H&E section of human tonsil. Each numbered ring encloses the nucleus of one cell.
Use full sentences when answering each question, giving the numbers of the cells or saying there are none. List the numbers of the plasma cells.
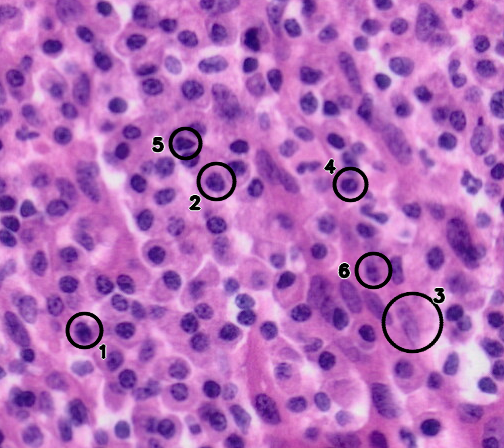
Cells 1, 2, 4 and 5 are recognised here as plasma cells.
